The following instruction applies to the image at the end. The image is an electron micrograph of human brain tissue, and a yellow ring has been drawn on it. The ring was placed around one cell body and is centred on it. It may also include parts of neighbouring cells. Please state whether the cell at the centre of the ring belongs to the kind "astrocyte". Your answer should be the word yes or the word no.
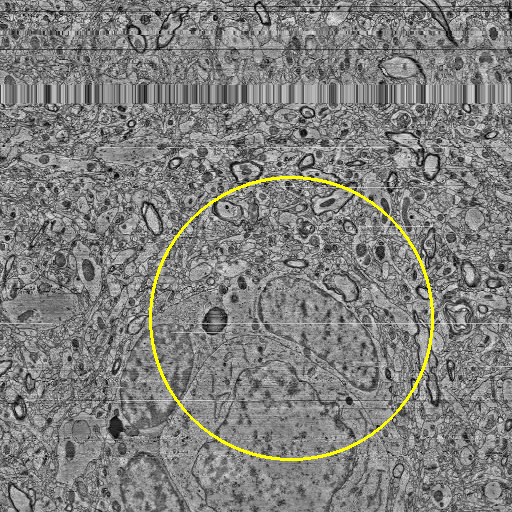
no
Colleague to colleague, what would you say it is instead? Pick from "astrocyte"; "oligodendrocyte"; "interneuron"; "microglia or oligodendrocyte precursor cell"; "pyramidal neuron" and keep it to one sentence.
At the centre of the ring sits a microglial cell or oligodendrocyte precursor cell.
